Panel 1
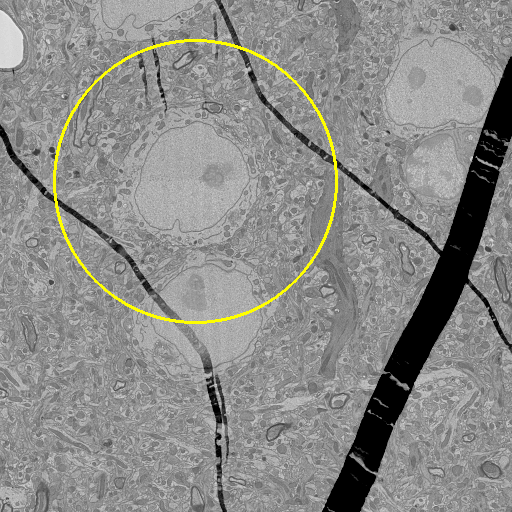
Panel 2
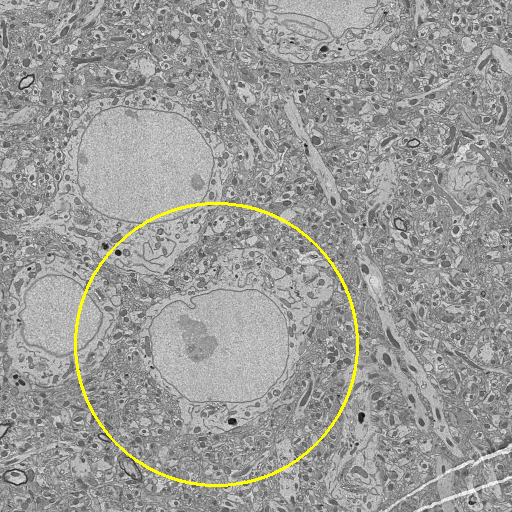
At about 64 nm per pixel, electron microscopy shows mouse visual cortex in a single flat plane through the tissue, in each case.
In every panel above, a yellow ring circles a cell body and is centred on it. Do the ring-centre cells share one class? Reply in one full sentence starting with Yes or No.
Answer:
Yes, the two cells at the ring centres in the panels belong to one class.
